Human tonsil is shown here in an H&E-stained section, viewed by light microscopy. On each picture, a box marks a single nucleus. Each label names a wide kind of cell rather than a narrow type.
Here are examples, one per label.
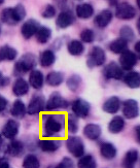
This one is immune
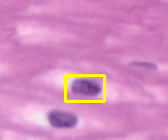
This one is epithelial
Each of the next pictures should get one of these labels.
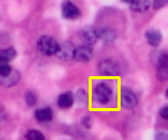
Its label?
immune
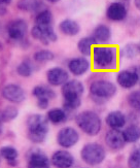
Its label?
immune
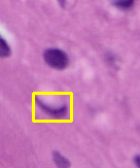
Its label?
epithelial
